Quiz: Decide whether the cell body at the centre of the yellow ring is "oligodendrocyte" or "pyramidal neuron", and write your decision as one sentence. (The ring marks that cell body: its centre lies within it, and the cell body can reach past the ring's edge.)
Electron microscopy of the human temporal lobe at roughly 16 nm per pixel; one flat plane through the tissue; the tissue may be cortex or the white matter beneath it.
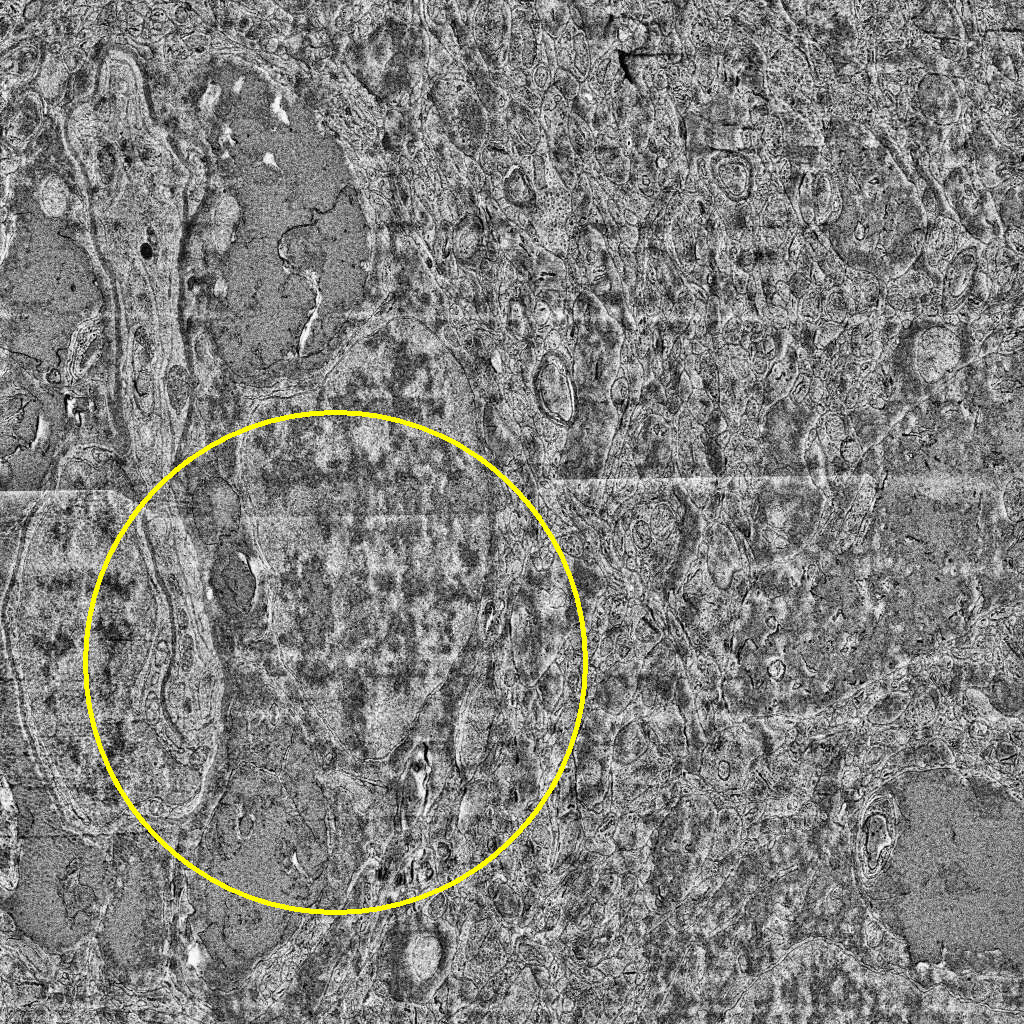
The cell holding the ring's centre is an oligodendrocyte.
